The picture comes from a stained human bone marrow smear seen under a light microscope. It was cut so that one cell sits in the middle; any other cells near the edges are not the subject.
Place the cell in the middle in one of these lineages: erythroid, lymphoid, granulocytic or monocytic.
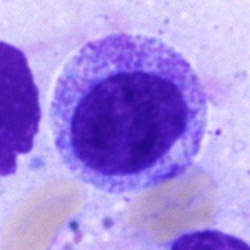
granulocytic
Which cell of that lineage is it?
myelocyte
